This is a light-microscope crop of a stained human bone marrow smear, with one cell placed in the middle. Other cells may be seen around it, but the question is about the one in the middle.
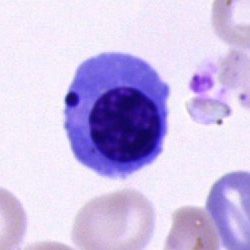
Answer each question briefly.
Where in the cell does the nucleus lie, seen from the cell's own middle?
lower right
